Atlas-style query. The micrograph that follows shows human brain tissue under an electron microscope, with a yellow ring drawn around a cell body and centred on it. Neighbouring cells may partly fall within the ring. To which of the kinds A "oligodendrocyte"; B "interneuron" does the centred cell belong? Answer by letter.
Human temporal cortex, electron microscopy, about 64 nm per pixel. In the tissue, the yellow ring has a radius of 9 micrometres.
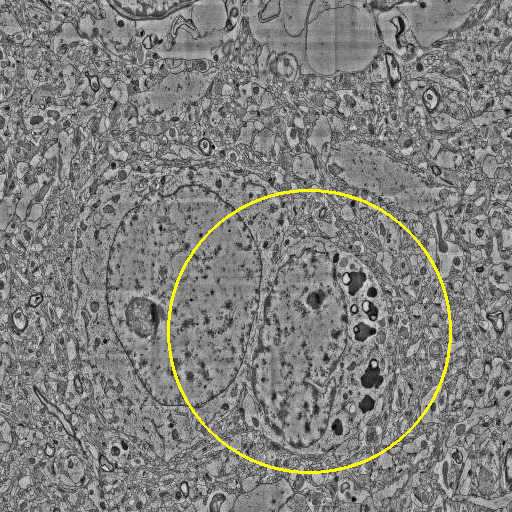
B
